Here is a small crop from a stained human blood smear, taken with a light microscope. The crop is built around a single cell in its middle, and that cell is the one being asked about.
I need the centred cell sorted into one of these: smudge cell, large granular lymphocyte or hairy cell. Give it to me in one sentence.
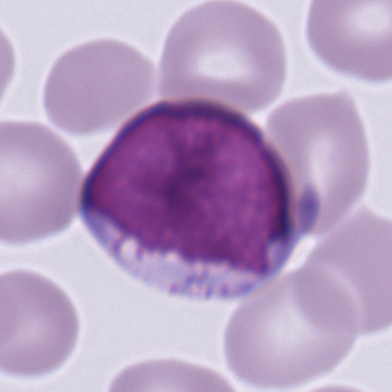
By classification, the middle cell of this crop is a large granular lymphocyte.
